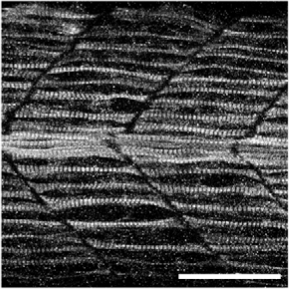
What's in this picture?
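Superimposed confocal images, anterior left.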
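The segments are separated by dark, obliquely running chevron-shaped boundaries. Within each segment long, thin, cross-striated fibres run roughly horizontally in parallel, each stretching from one boundary to the next. The fibres are separated by narrow dark spaces, giving a regular pattern of bright striped bands.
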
